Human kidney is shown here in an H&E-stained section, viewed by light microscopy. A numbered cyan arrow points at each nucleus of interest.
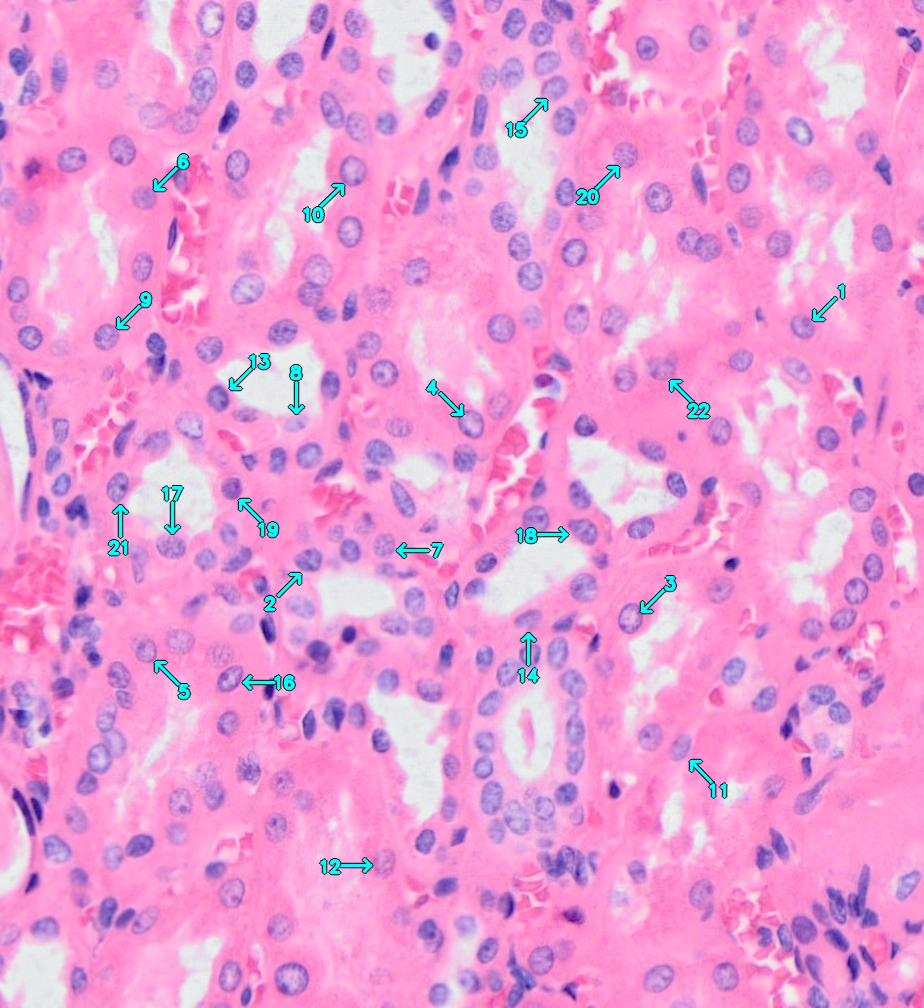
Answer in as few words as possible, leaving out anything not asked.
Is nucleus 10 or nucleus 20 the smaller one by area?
20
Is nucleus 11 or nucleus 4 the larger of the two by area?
4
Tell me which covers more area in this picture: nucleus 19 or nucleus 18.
18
